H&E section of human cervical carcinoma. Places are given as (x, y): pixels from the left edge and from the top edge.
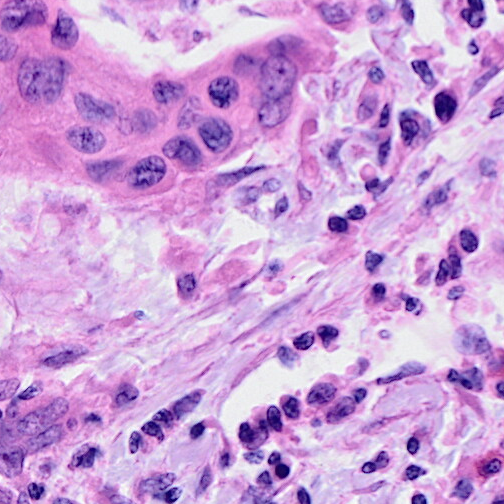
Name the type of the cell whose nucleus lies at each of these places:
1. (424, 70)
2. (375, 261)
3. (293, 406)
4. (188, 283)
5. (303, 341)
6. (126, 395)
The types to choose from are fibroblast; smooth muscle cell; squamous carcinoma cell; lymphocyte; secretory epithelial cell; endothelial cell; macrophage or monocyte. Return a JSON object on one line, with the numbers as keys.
{"1": "lymphocyte", "2": "lymphocyte", "3": "lymphocyte", "4": "macrophage or monocyte", "5": "lymphocyte", "6": "macrophage or monocyte"}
